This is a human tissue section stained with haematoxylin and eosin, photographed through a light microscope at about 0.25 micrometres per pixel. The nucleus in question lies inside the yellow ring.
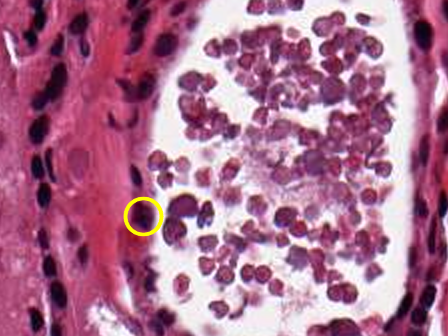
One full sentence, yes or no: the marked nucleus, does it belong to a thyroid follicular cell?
Yes, the marked nucleus is that of a thyroid follicular cell.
